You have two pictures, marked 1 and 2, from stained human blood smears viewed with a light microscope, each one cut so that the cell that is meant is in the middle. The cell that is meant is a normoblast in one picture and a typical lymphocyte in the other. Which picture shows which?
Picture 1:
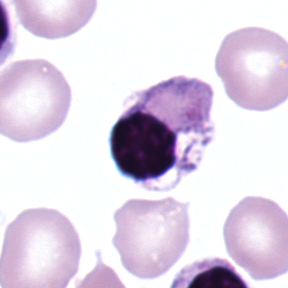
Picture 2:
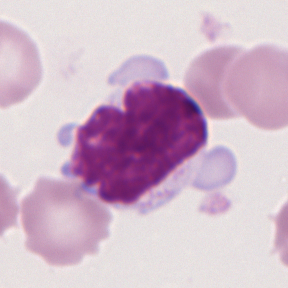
1: normoblast
2: typical lymphocyte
